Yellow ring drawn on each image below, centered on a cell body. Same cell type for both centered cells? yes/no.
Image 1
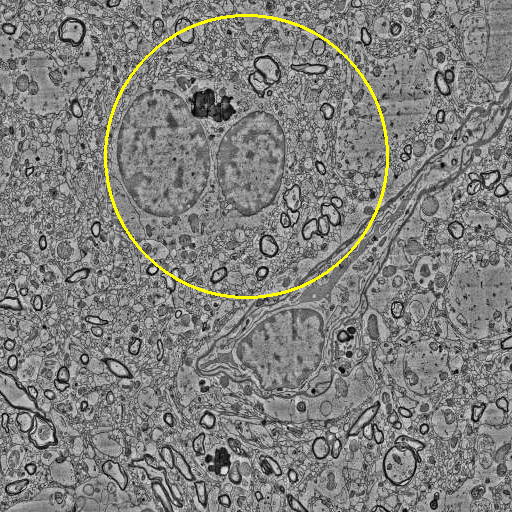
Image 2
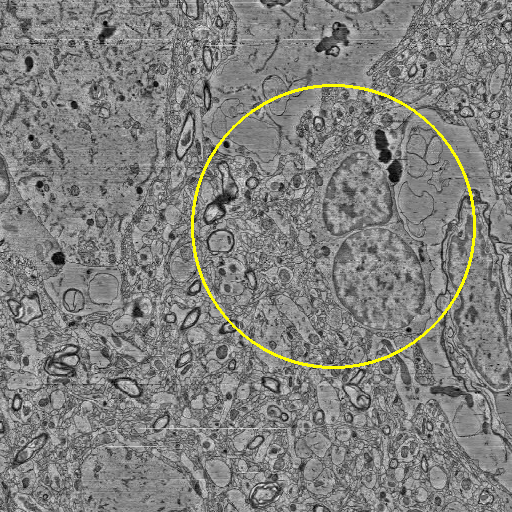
yes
